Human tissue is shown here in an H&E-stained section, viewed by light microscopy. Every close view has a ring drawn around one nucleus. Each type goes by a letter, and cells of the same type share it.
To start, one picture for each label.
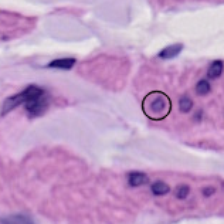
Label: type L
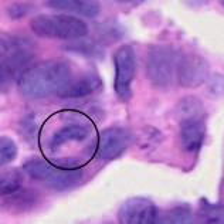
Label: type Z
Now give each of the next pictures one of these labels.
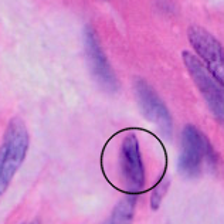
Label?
type L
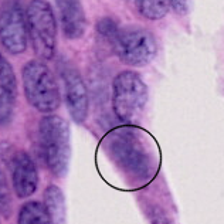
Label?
type Z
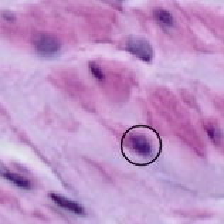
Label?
type L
